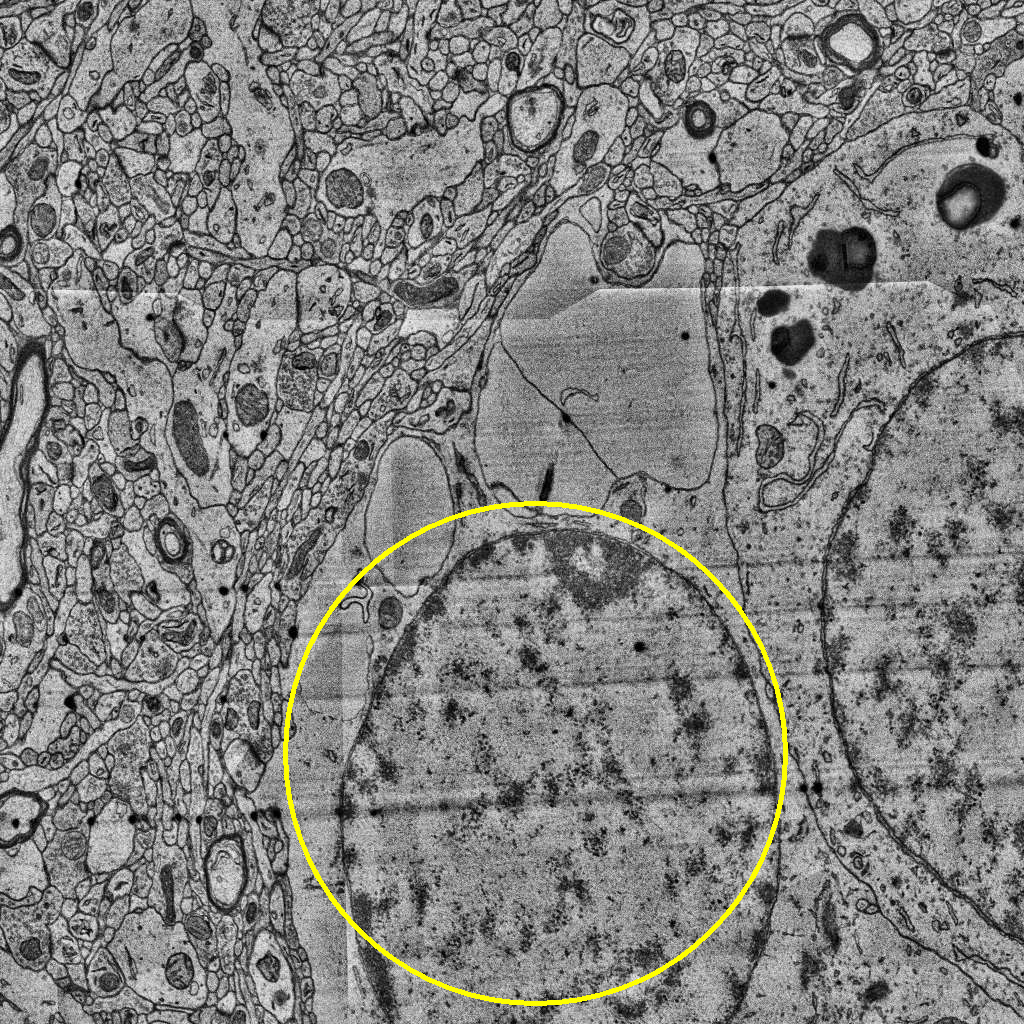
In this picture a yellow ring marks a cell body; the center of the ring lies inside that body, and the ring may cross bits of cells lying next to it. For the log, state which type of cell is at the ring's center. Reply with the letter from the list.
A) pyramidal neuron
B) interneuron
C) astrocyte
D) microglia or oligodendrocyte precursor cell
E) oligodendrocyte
C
